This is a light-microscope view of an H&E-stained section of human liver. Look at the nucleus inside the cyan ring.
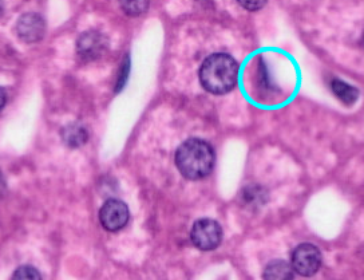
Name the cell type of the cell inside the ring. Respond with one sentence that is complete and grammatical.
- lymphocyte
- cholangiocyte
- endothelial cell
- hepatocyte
By its classification, the cell inside the ring is an endothelial cell.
